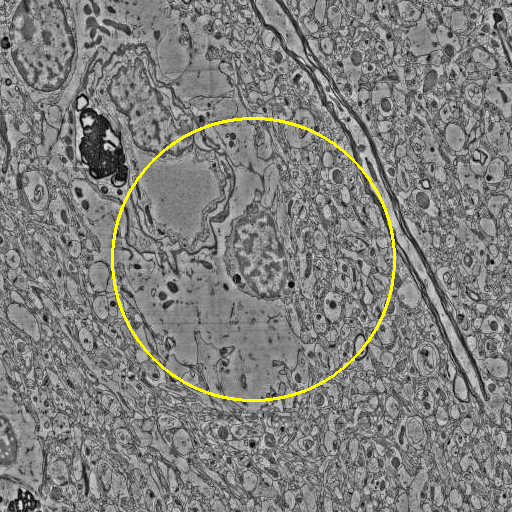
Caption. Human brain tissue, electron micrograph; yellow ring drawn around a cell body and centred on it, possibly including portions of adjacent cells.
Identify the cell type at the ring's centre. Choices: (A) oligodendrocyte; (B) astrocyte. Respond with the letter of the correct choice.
A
